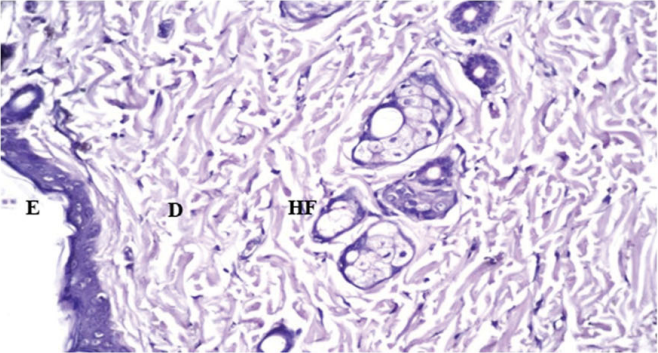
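This is skin with the epidermis along the left edge and the dermis filling the rest of the field. The epidermis is a thin, dark purple stratified epithelium, and the dermis is made of loose, wavy pale pink-lilac collagen bundles. Hair follicles are cut across in the dermis, and one cluster holds pale, vacuolated cells.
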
